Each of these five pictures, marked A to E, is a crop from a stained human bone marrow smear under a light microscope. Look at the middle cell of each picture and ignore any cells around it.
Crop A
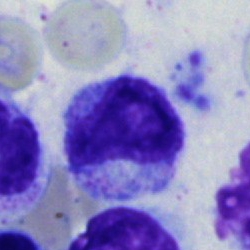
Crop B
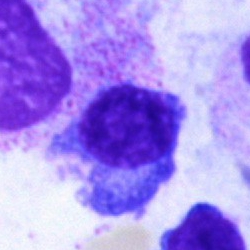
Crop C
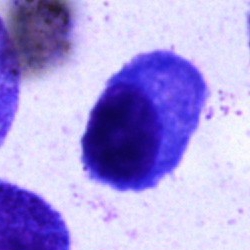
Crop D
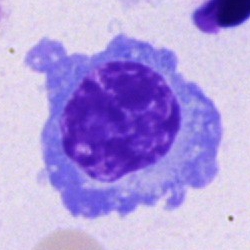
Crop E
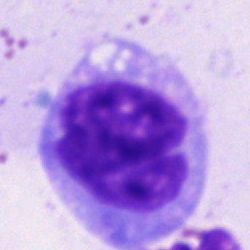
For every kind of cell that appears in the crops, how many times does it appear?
plasma cell: 3
monocyte: 2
